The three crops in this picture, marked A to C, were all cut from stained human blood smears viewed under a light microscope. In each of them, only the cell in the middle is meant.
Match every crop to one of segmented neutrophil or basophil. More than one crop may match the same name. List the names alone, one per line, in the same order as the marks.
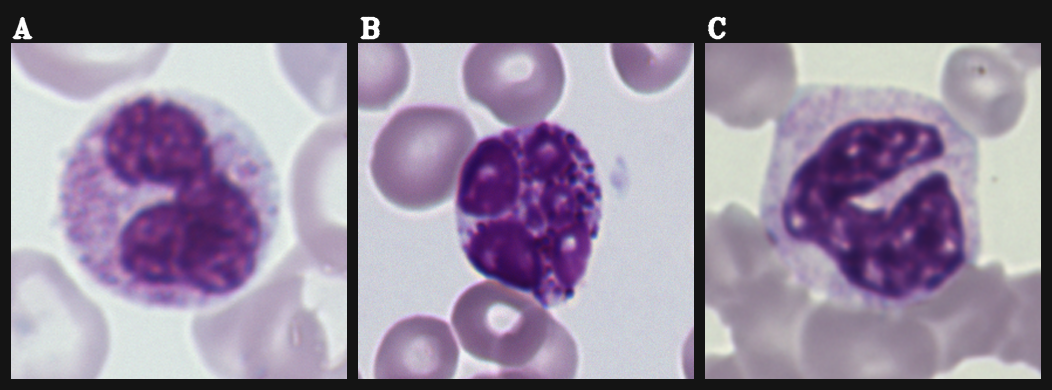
segmented neutrophil
basophil
segmented neutrophil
